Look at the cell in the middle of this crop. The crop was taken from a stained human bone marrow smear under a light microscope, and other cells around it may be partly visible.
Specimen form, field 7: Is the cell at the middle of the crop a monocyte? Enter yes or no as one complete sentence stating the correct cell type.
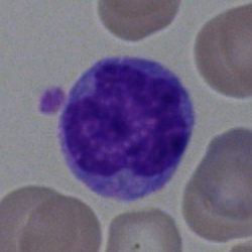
Yes, that is a monocyte in the middle of the crop.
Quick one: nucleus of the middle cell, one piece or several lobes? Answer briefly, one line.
Its nucleus is compact and single, with a round, oval or kidney-shaped form.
